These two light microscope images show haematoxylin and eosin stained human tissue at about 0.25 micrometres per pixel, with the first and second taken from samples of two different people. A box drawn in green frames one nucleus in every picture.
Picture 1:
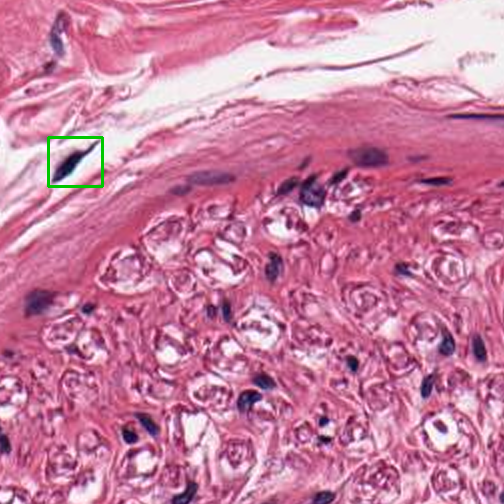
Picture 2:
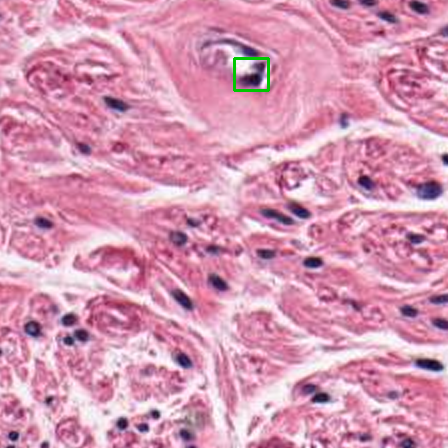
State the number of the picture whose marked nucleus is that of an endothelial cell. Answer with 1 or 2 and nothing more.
2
